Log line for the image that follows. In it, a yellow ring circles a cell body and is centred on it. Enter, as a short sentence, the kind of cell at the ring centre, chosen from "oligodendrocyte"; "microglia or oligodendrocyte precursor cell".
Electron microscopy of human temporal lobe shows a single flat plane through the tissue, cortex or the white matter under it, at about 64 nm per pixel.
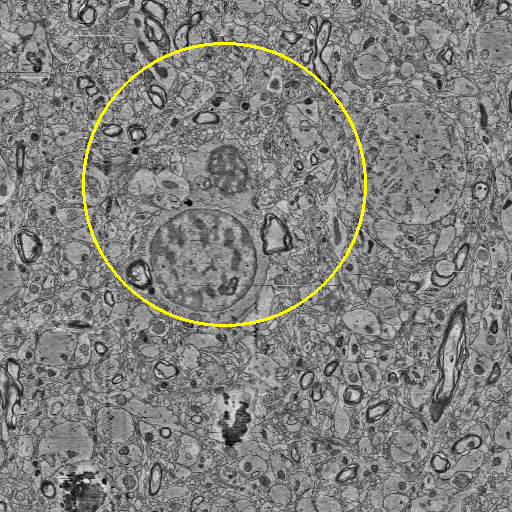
The ring centre is occupied by an oligodendrocyte.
